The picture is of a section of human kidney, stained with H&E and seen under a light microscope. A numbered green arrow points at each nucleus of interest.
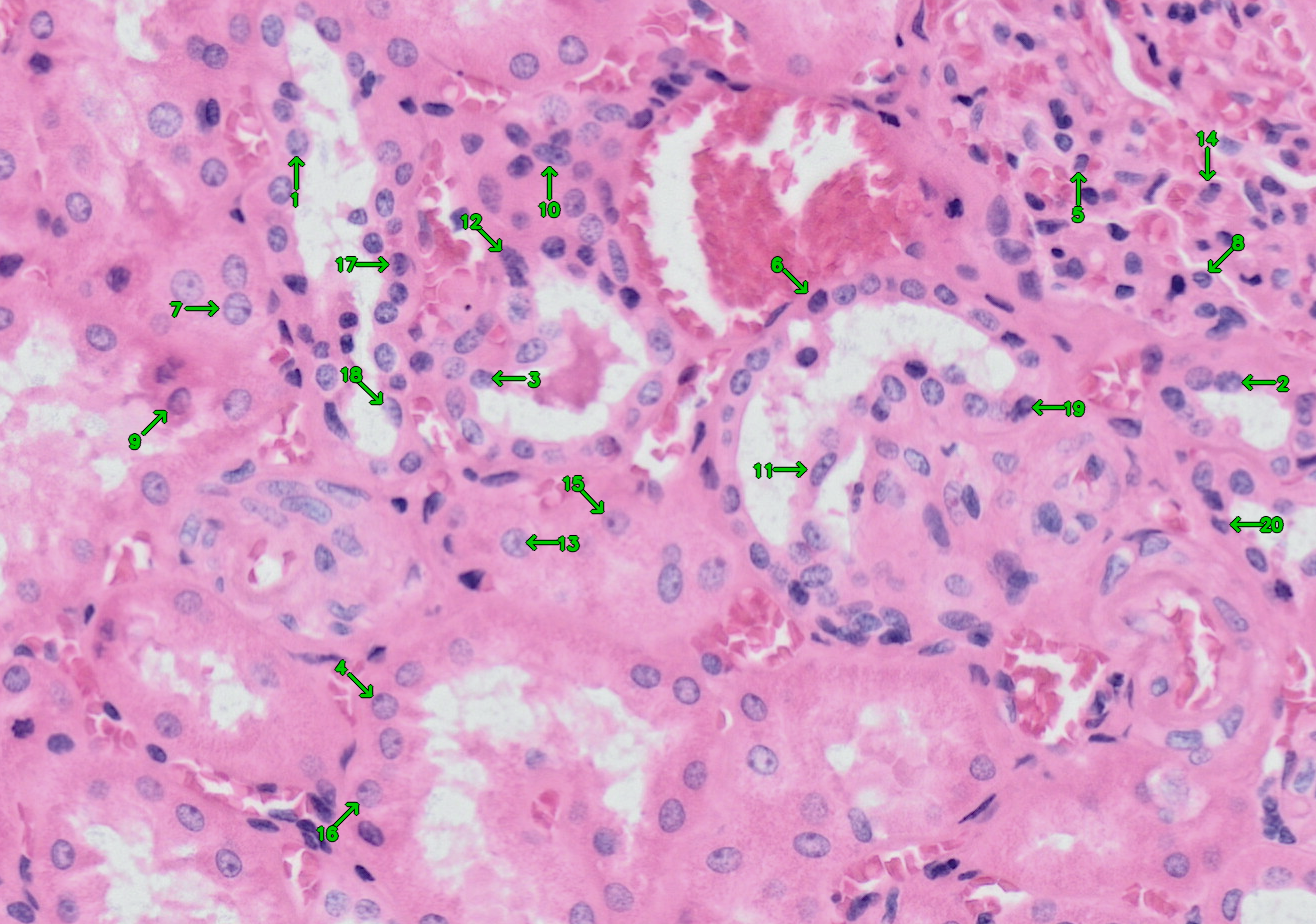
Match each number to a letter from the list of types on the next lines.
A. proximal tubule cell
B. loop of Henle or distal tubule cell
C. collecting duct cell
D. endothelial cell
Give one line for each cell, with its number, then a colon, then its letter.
1: C
2: C
3: C
4: A
5: D
6: C
7: A
8: D
9: A
10: C
11: C
12: C
13: A
14: D
15: A
16: A
17: C
18: C
19: C
20: C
